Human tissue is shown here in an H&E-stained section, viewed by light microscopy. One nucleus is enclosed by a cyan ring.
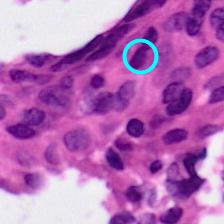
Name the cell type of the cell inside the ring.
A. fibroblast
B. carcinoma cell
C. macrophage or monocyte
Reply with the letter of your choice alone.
B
